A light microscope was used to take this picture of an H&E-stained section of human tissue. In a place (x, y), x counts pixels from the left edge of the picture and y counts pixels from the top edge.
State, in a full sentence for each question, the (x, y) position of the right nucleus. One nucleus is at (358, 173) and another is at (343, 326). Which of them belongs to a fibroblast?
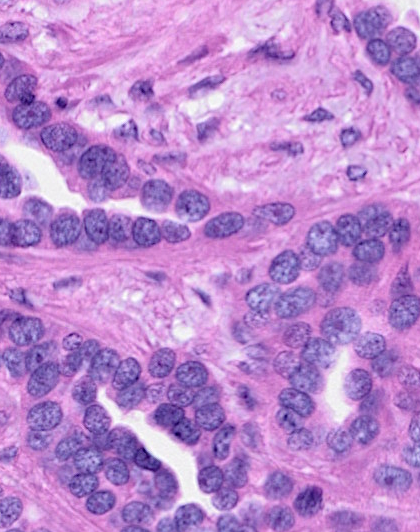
Of the two nuclei, it is the one at (358, 173) that lies within a fibroblast.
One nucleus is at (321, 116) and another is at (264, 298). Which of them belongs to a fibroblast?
The nucleus located at (321, 116) is the one held within a fibroblast.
